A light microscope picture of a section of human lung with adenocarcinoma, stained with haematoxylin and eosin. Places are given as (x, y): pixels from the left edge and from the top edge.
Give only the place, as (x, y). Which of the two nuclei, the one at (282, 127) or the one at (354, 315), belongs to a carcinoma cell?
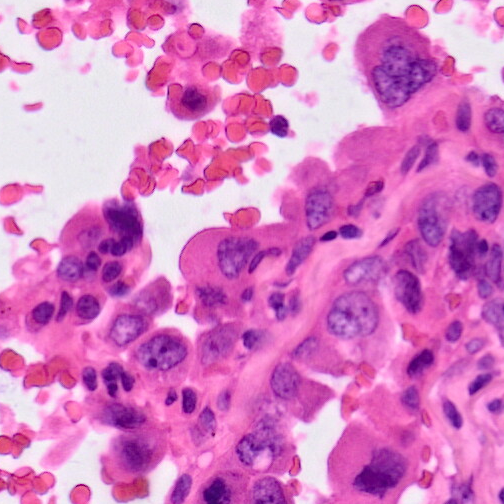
(354, 315)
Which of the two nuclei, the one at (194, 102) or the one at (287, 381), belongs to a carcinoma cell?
(287, 381)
